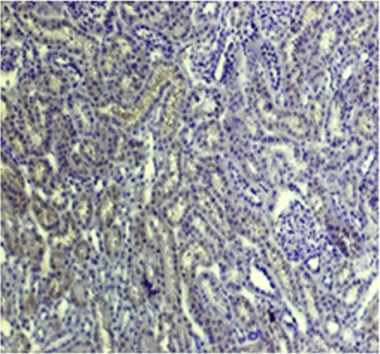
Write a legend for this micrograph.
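This is a section of kidney cortex with numerous tubules cut in cross and oblique section. The tubules are lined by cuboidal epithelial cells with round blue nuclei and pale cytoplasm. Only a faint light brown tint is seen in the tubular cytoplasm and along some luminal borders. Thin interstitial spaces separate the tubules, and a few small open lumens are visible. Overall the tissue looks predominantly blue with weak brown colour.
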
